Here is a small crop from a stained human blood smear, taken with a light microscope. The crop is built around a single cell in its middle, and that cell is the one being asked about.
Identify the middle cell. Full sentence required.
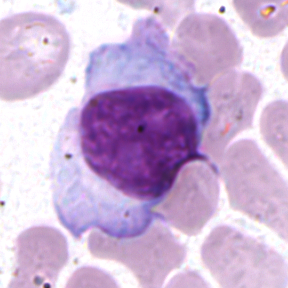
For this crop, the central cell is a plasma cell.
